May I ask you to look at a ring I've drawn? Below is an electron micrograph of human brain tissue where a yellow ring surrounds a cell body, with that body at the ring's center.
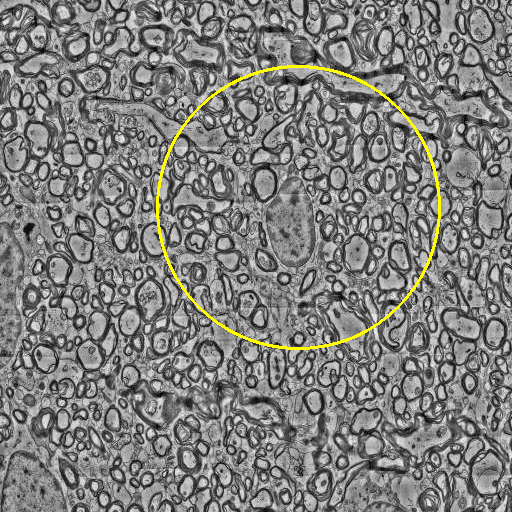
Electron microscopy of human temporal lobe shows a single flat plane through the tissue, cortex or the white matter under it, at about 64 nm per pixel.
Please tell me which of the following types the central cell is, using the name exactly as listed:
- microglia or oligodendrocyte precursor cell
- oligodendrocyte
microglia or oligodendrocyte precursor cell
